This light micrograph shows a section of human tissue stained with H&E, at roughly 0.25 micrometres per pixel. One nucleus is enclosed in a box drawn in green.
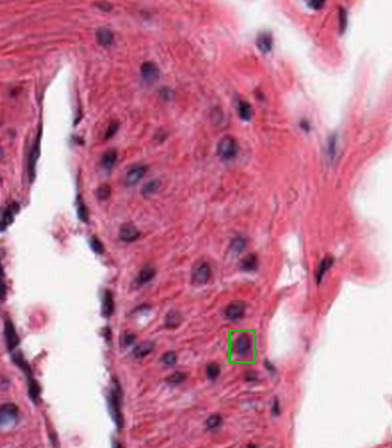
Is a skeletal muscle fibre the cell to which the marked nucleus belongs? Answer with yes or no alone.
no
